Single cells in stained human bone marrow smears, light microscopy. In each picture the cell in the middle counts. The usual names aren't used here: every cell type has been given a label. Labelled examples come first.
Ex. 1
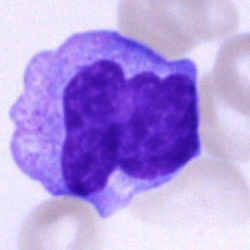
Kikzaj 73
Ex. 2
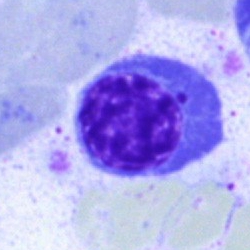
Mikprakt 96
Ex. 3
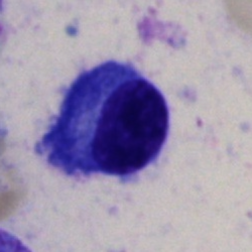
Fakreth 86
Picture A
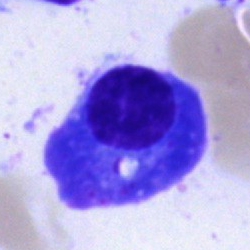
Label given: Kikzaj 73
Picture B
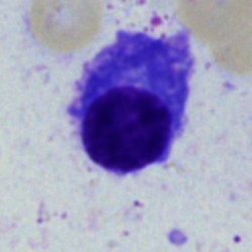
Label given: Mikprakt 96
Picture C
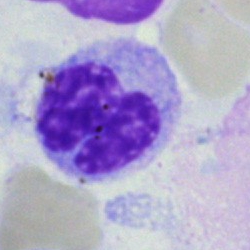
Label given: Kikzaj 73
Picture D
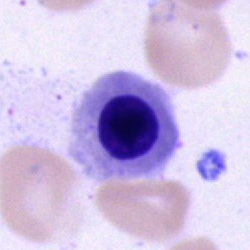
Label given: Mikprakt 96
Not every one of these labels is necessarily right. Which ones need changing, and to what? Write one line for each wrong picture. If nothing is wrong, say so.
A is labelled Kikzaj 73; correct label: Fakreth 86
B is labelled Mikprakt 96; correct label: Fakreth 86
